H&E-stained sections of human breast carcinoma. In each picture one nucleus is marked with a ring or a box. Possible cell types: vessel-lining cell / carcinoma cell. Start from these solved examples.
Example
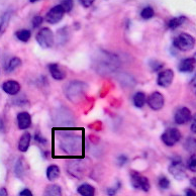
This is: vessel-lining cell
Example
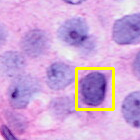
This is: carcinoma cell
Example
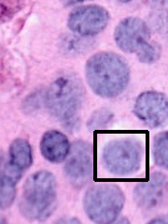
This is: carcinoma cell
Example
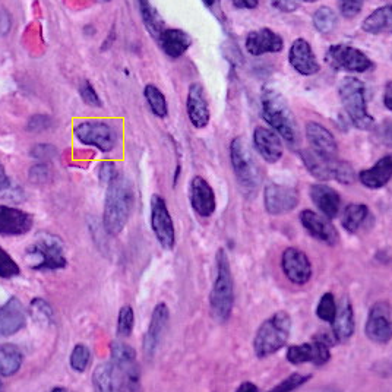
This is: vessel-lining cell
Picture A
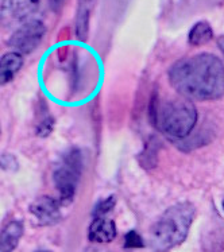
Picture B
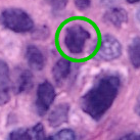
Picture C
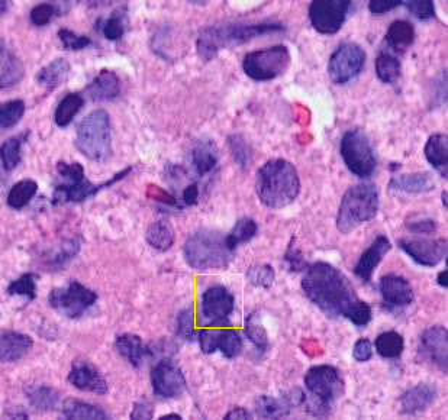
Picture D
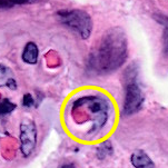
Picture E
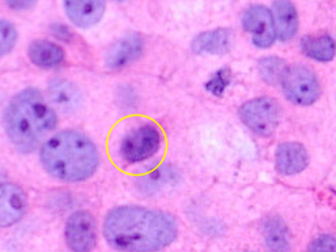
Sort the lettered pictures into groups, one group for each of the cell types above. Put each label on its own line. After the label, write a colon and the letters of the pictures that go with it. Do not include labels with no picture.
vessel-lining cell: A, D
carcinoma cell: B, C, E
